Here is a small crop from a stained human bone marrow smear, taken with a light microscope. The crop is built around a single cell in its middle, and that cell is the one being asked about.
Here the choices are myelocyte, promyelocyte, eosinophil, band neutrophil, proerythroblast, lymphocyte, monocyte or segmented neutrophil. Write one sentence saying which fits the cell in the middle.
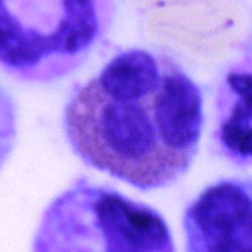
Of the cells in this crop, the central one is an eosinophil.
